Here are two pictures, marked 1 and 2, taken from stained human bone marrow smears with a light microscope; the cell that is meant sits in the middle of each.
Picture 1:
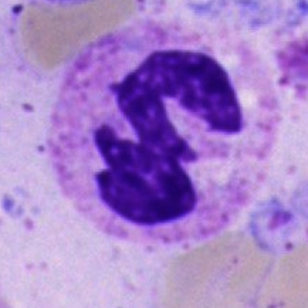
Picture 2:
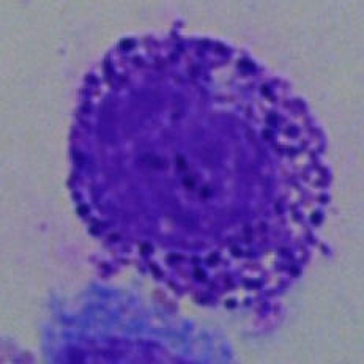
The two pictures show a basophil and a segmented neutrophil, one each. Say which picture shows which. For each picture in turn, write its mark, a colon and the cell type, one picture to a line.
1: segmented neutrophil
2: basophil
